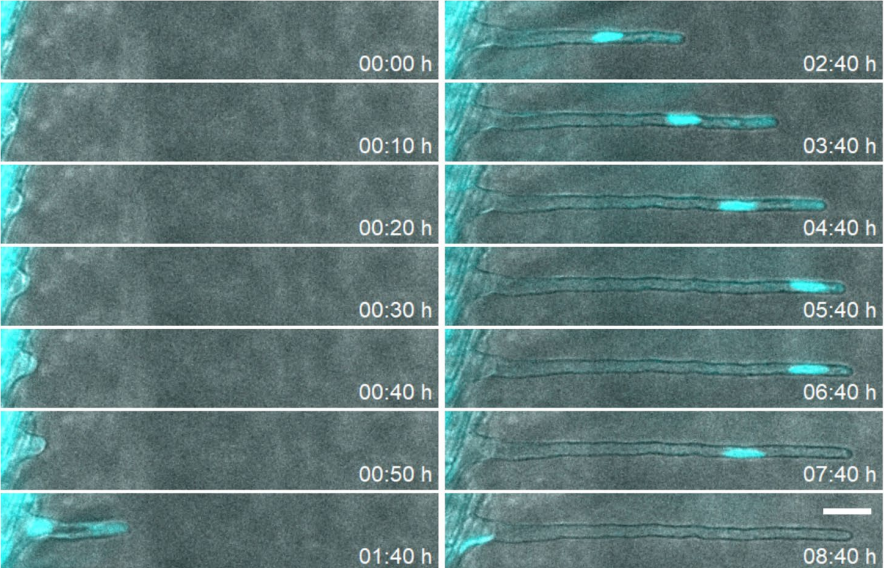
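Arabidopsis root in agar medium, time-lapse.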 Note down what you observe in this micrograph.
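This series follows one root hair cell as it grows out of the root surface, seen at the left edge. A single compact oval nucleus, shown in cyan, leaves the cell body, enters the tube and travels along it, staying some distance behind the growing tip. In the last frames the tube has stopped lengthening and the nucleus has moved back toward the base.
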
